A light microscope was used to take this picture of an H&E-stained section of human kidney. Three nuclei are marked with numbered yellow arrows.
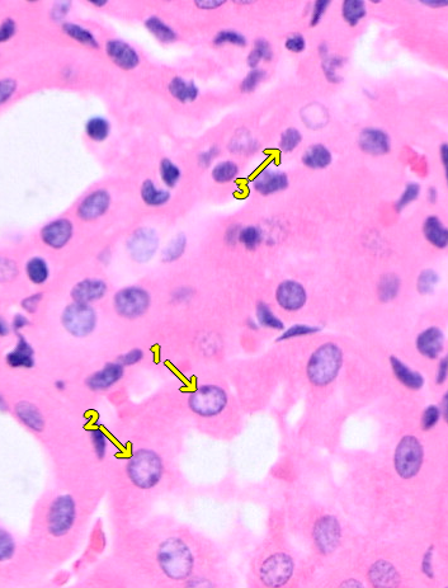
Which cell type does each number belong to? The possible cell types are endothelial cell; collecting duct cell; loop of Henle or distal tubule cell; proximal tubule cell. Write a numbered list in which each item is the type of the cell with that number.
1. proximal tubule cell
2. proximal tubule cell
3. collecting duct cell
